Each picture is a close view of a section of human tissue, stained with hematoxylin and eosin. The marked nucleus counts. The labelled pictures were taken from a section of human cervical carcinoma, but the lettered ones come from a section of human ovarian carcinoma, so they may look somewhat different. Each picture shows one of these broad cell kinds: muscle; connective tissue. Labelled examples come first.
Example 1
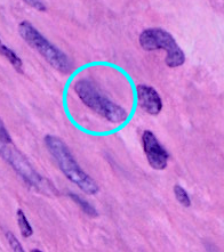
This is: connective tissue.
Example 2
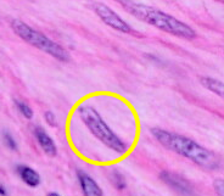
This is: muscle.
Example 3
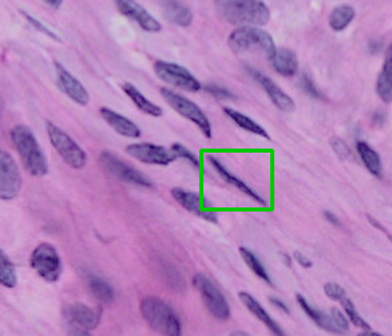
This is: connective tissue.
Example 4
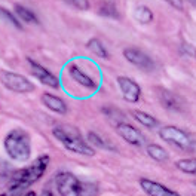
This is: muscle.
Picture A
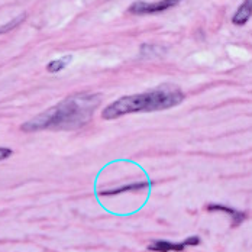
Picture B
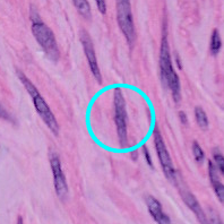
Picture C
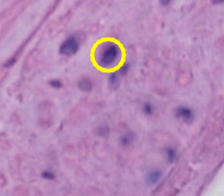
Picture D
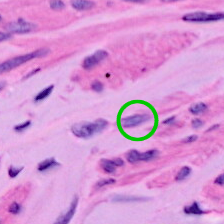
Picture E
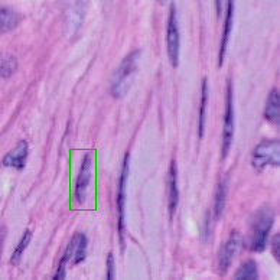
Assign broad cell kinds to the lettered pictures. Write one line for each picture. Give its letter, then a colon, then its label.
A: connective tissue.
B: muscle.
C: muscle.
D: muscle.
E: connective tissue.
